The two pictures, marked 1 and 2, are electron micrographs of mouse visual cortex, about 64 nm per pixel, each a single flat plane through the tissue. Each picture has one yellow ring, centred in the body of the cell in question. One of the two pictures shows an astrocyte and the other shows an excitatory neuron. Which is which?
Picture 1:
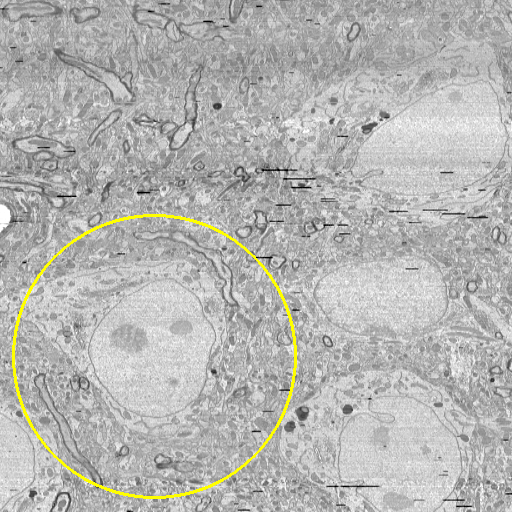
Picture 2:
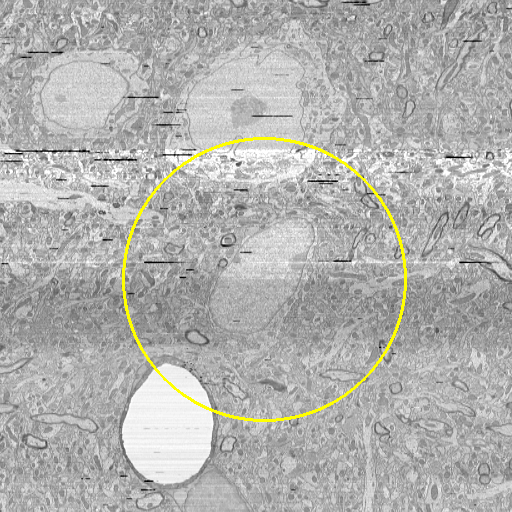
In picture 1 the cell is an excitatory neuron; in picture 2, an astrocyte.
